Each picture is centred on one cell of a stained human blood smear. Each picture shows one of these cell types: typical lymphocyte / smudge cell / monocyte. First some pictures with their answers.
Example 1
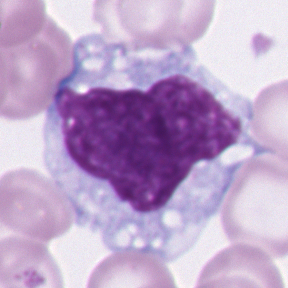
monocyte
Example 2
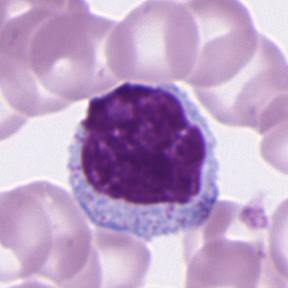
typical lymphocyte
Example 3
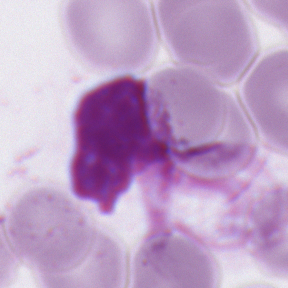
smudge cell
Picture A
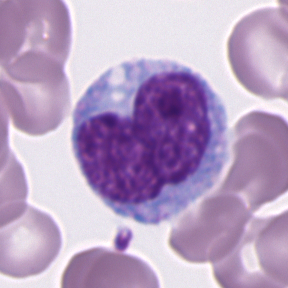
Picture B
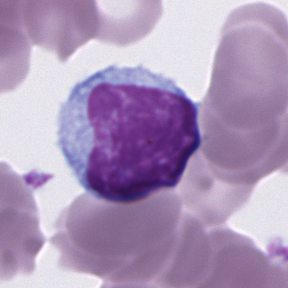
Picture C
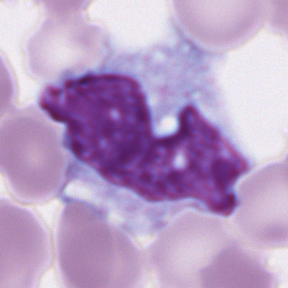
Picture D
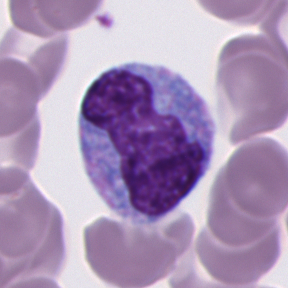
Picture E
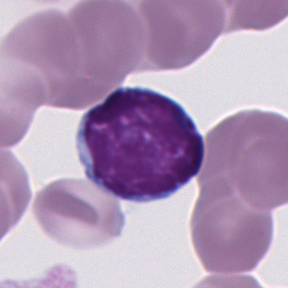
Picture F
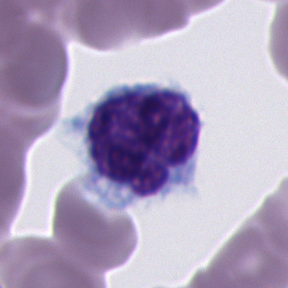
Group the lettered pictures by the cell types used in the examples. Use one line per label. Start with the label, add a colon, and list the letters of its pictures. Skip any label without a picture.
typical lymphocyte: B, E
monocyte: A, C, D, F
